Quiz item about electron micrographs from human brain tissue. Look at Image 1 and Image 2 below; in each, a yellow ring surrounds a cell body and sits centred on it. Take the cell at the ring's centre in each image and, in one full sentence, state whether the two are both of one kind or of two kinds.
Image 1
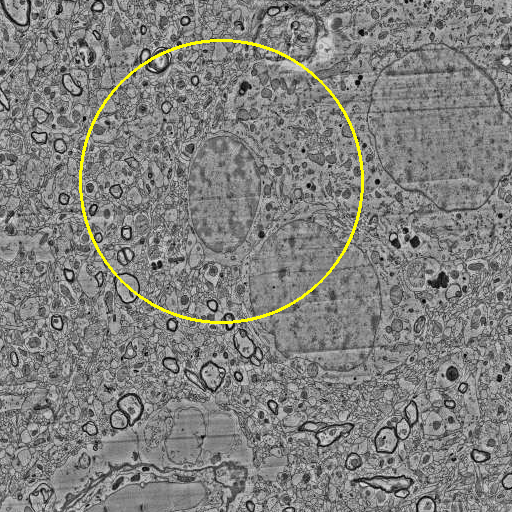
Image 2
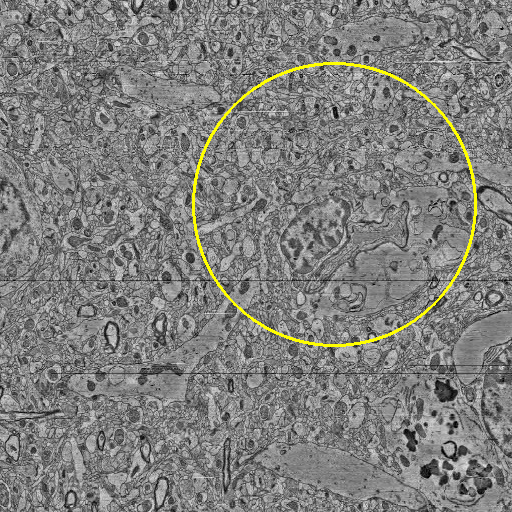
In Image 1 and Image 2, the cells at the ring centres are of two kinds.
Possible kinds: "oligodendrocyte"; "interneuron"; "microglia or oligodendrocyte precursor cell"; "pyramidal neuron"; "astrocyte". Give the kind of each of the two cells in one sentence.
The cell in the second picture is a microglial cell or oligodendrocyte precursor cell, and that in the first is an oligodendrocyte.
